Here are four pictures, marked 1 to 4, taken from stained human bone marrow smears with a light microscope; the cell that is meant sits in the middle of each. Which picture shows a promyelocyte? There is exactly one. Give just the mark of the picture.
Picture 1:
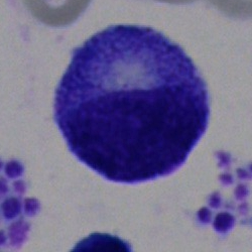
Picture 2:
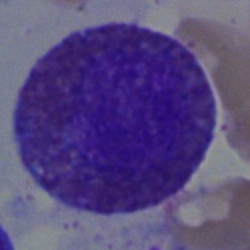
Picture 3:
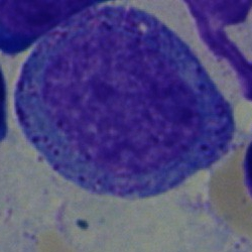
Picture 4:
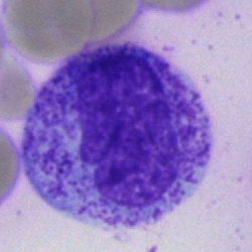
3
